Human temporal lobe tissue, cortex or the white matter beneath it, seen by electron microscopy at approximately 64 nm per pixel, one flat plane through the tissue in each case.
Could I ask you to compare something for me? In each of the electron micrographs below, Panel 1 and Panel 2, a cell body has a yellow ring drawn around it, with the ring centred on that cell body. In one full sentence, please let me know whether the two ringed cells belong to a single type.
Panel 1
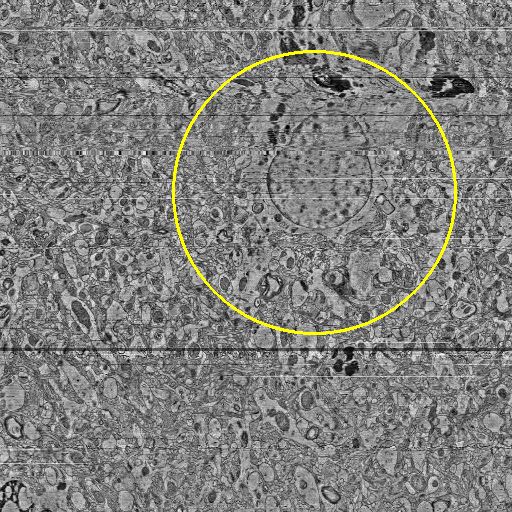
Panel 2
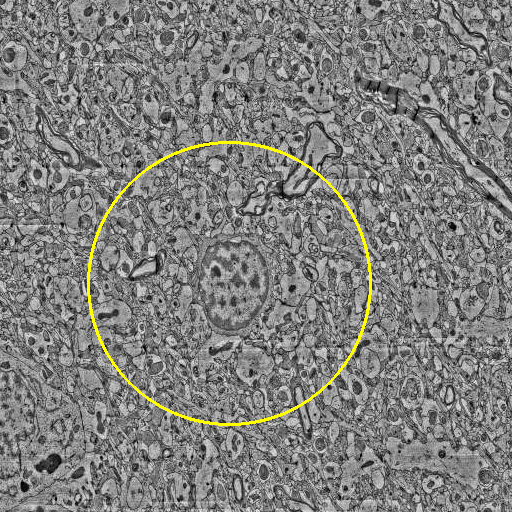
No, the two cells at the centres of the rings are of two types.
